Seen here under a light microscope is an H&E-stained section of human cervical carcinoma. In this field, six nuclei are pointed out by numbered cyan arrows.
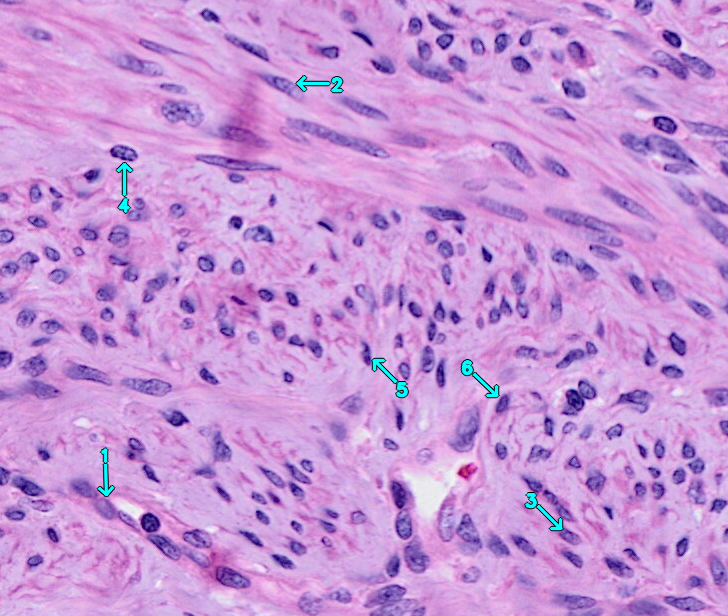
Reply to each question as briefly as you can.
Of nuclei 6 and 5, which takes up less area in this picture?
5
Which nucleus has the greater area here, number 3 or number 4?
4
